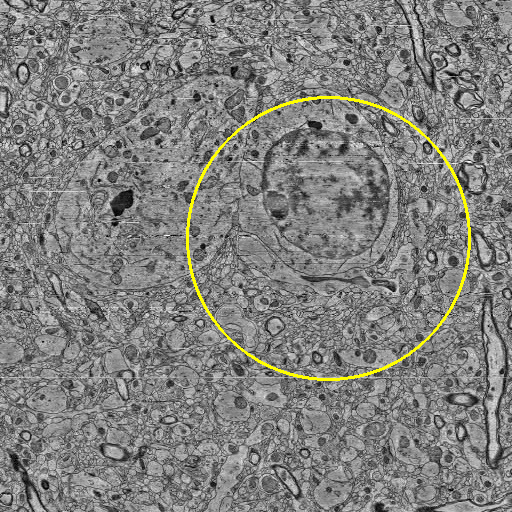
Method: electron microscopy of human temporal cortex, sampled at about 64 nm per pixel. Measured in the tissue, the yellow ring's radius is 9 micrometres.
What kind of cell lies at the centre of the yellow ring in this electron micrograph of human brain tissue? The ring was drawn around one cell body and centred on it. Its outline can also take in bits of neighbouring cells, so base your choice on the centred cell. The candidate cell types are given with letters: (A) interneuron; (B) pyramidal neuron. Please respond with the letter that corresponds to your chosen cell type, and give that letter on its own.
A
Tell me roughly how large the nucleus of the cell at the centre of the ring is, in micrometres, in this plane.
The nucleus measures about 9 micrometers across in this plane.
